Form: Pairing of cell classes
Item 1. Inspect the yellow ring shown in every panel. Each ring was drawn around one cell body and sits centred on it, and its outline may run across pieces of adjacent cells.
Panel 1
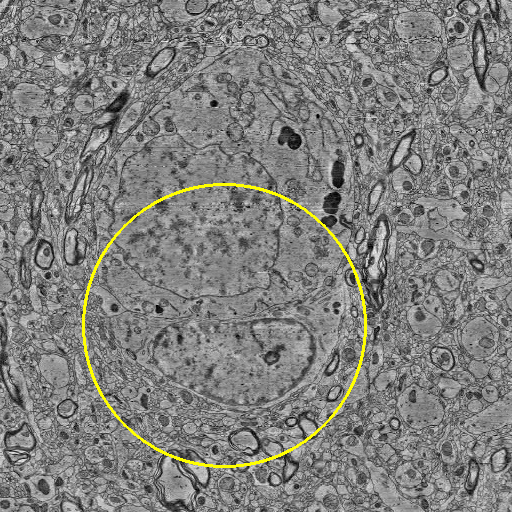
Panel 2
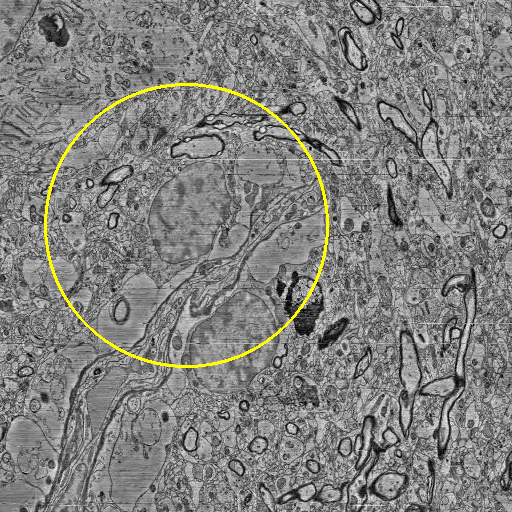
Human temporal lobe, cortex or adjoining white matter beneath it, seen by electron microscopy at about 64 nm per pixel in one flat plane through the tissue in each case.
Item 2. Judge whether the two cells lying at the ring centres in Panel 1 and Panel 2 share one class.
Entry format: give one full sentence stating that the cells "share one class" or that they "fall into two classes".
The cells at the ring centres in Panel 1 and Panel 2 fall into two classes.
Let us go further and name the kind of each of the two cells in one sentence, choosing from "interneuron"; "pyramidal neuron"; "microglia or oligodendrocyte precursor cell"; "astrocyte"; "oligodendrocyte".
The ring of the first picture is on a microglial cell or oligodendrocyte precursor cell, the ring of the second on an oligodendrocyte.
